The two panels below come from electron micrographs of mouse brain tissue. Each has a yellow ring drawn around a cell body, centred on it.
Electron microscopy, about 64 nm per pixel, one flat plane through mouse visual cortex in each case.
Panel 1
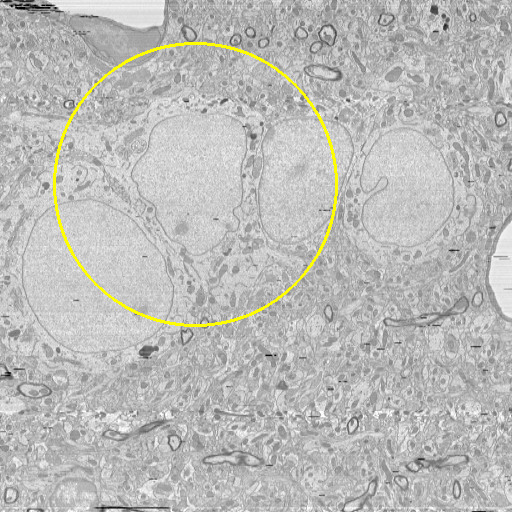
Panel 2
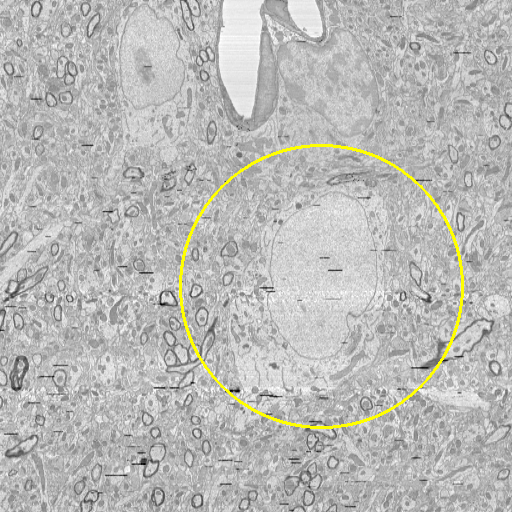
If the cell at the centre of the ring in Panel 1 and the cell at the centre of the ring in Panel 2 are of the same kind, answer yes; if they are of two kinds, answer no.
yes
